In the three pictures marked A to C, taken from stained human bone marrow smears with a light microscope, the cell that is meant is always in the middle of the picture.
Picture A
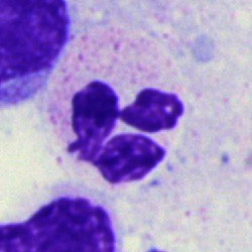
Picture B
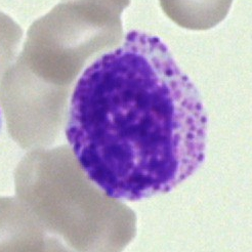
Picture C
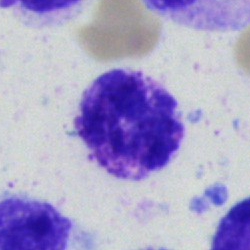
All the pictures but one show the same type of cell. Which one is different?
A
